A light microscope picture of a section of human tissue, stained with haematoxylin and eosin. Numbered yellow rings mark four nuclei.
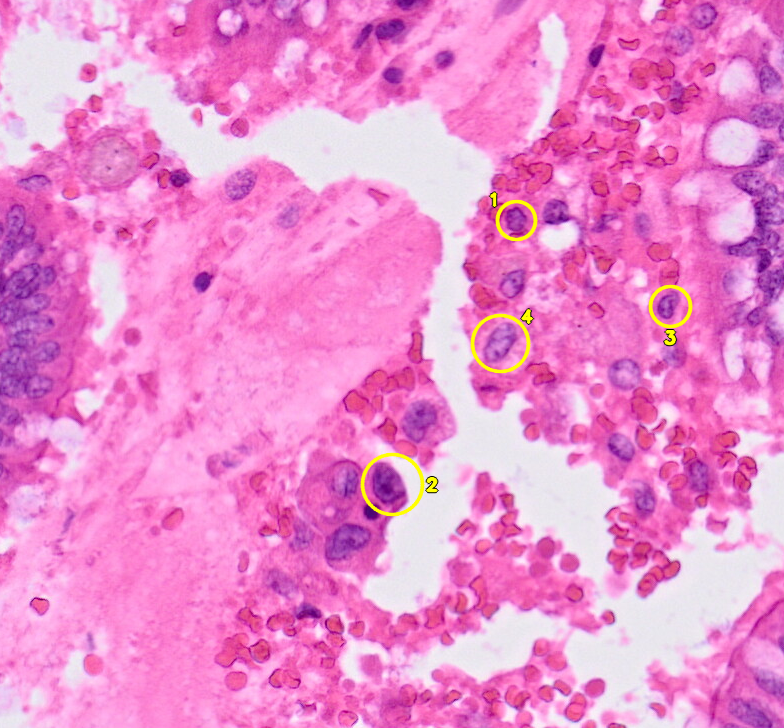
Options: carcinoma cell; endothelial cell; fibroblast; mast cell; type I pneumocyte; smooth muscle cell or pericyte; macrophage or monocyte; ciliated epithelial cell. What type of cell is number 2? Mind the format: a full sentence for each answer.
Cell 2 should be recorded as a carcinoma cell.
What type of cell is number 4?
The cell that is numbered 4 is a macrophage or monocyte.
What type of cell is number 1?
Identified as a macrophage or monocyte is the cell bearing the number 1.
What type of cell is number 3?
The cell pointed out as number 3 is a macrophage or monocyte.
